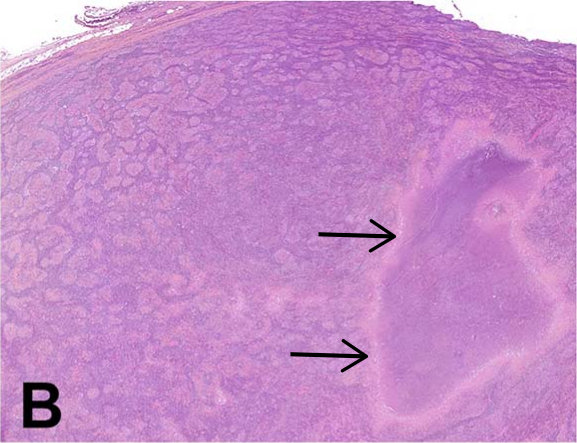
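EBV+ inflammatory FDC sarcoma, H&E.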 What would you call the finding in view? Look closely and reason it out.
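Granulomatous appearance. Numerous small pale rounded nodules are scattered throughout the tissue. Darker purple tissue separates the pale nodules.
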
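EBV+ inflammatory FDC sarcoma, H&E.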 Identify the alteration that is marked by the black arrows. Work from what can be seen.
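The arrows point to the edge of a large irregular area set off from the surrounding tissue. The area is rimmed by a pale pink band.
Conclusion: necrosis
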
